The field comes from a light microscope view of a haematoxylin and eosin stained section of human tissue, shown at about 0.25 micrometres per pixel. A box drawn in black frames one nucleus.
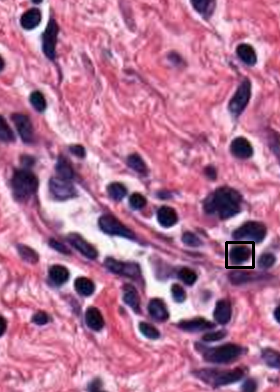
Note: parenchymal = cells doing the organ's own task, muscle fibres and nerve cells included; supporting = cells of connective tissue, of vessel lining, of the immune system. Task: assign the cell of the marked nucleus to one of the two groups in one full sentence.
The marked nucleus is seen within a supporting cell.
